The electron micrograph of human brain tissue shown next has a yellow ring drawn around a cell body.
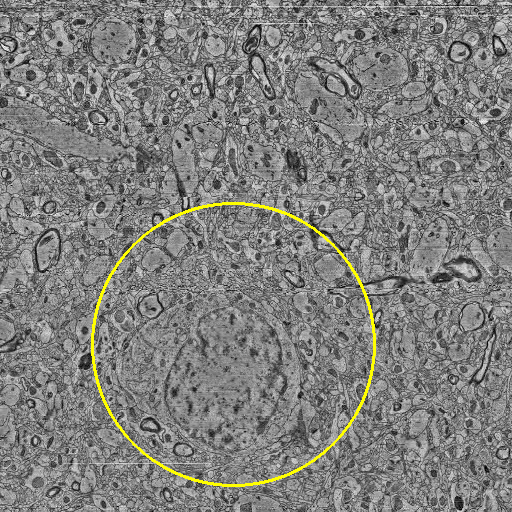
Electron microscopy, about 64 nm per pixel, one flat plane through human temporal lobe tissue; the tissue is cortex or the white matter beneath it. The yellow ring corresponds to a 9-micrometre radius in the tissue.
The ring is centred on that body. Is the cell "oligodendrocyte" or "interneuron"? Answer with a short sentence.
The cell in question is an interneuron.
